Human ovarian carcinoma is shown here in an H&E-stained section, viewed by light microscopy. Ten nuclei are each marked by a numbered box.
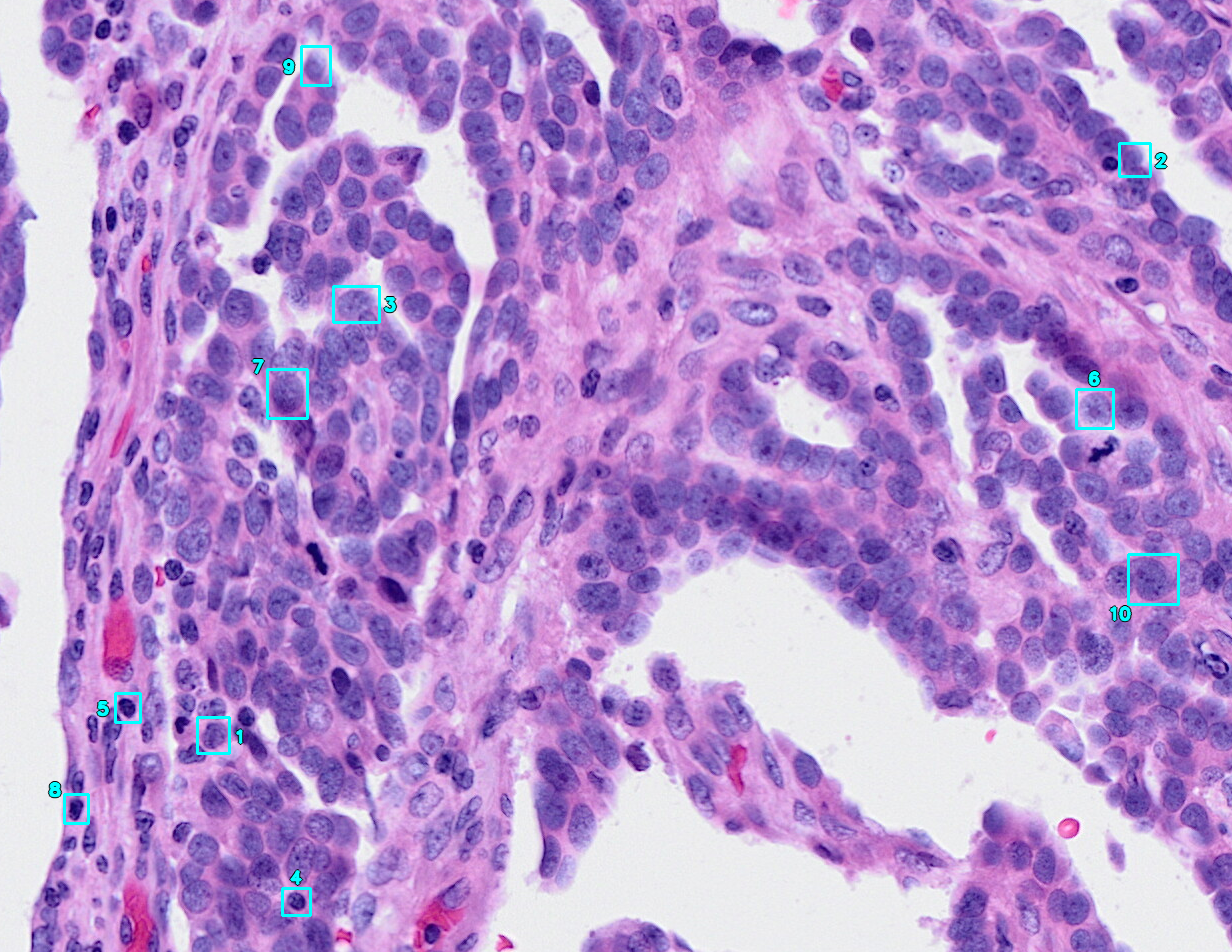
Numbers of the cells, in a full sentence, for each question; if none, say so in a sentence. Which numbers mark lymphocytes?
Cells numbered 4, 5 and 8 belong to the group of lymphocytes.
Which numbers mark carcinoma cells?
Classified as carcinoma cells are the cells numbered 2, 3, 6, 7, 9 and 10.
